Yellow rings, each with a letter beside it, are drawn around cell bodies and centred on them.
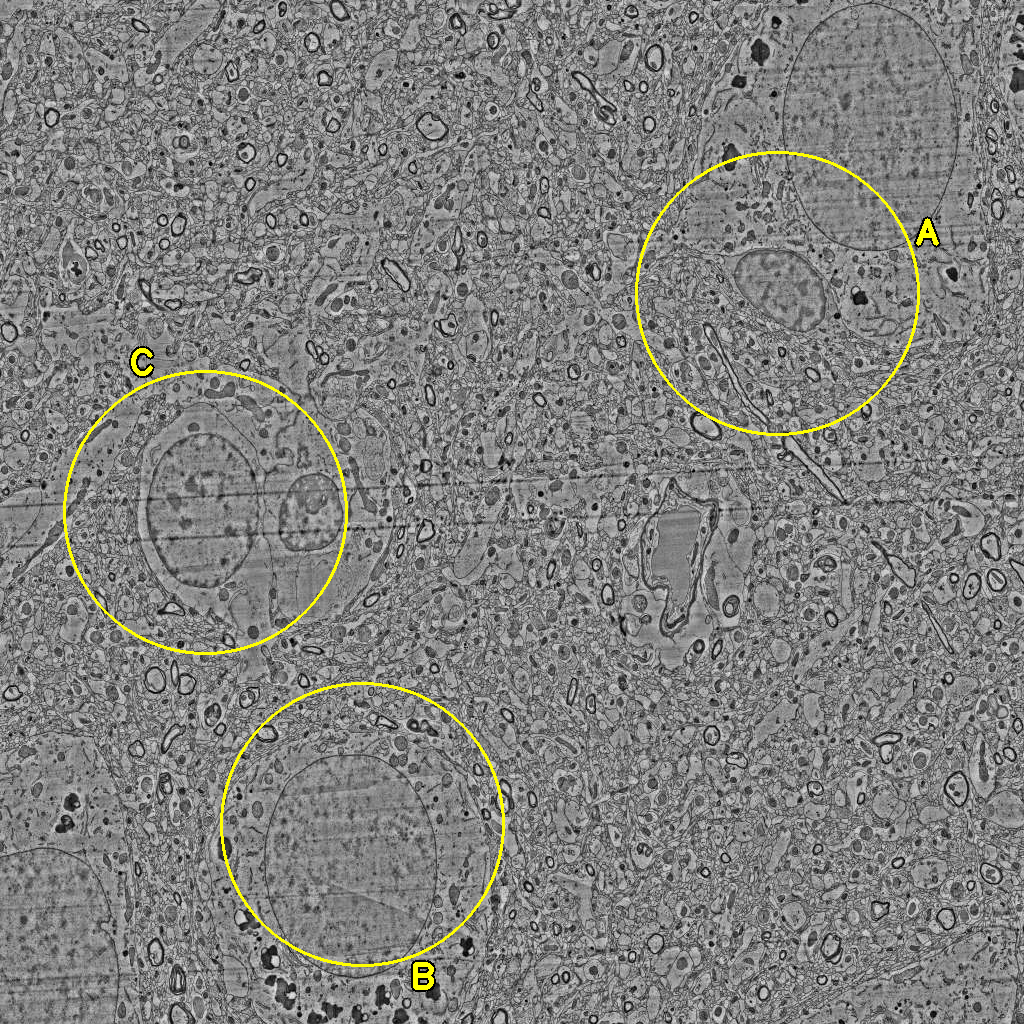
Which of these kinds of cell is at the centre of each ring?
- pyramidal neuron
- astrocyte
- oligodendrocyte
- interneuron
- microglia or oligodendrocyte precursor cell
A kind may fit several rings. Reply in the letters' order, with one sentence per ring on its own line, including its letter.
The cell in the middle of ring A is an oligodendrocyte.
The cell in the middle of ring B is a pyramidal neuron.
The cell in the middle of ring C is an astrocyte.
